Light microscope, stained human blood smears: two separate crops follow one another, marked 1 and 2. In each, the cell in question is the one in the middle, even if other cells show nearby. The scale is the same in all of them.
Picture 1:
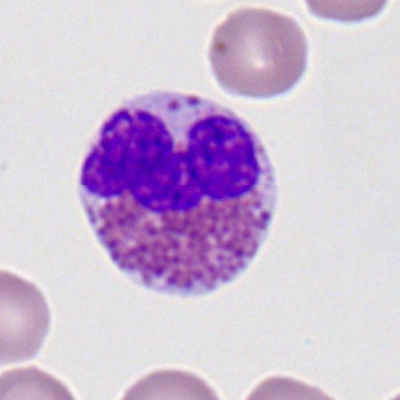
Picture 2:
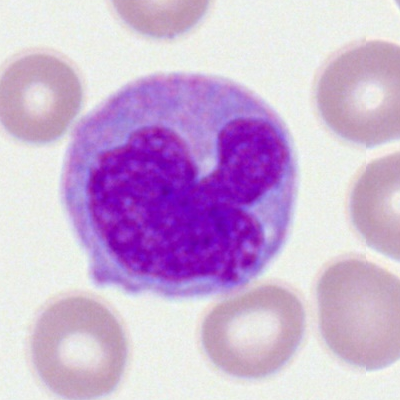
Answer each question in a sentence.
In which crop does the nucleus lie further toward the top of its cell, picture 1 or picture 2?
In picture 1 the nucleus is shifted more toward the top.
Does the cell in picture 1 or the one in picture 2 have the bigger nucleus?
The nucleus in picture 2 is larger, with about 1.5 times the area of the one in picture 1.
